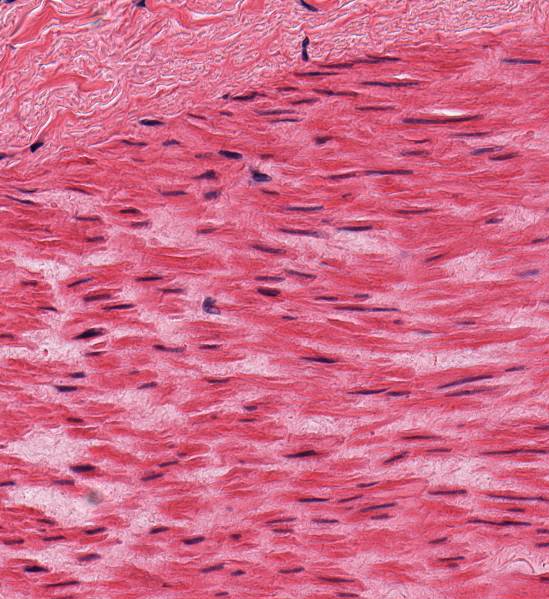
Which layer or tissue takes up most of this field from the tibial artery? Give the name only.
tunica media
